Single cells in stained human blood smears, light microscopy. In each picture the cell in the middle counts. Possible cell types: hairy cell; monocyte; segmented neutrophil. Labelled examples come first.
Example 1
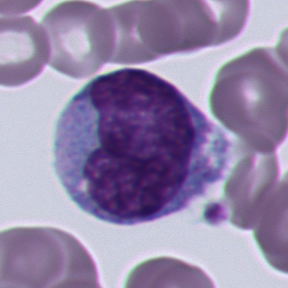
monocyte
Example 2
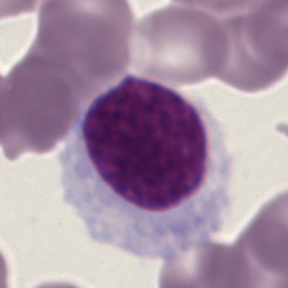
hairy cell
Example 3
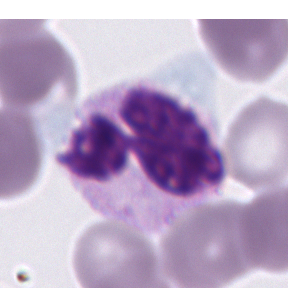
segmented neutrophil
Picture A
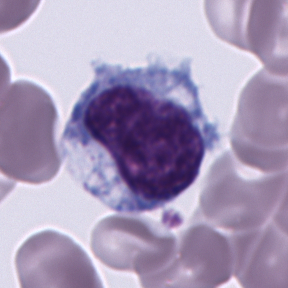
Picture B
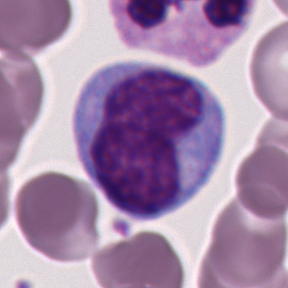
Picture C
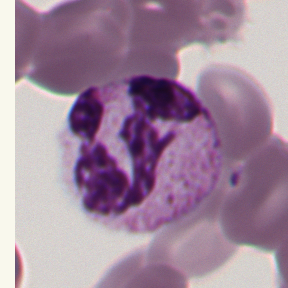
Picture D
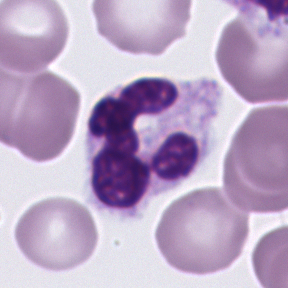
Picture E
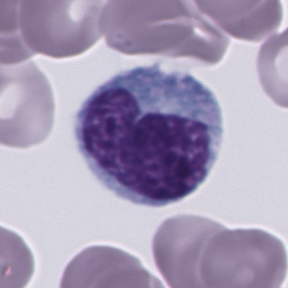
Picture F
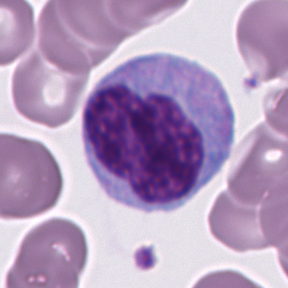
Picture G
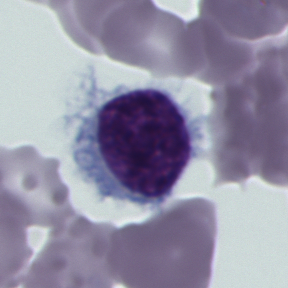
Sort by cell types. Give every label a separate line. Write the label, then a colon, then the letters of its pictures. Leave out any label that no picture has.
hairy cell: G
monocyte: A, B, E, F
segmented neutrophil: C, D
